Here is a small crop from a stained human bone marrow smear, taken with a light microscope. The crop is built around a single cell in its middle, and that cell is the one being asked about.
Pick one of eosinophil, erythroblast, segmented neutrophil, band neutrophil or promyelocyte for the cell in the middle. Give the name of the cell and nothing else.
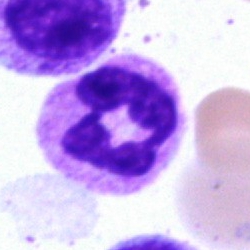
segmented neutrophil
